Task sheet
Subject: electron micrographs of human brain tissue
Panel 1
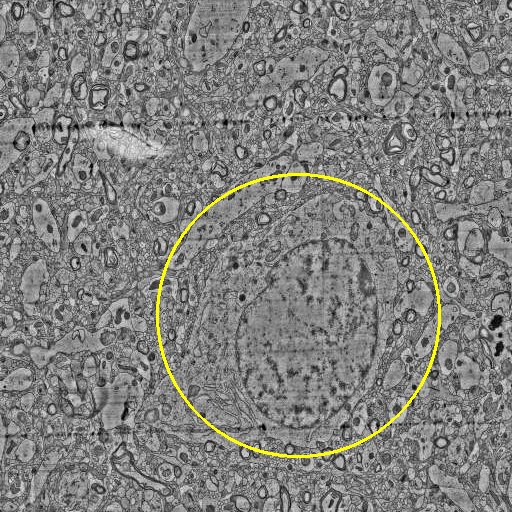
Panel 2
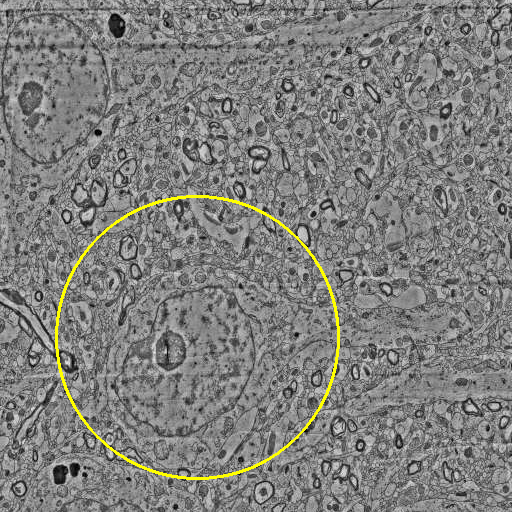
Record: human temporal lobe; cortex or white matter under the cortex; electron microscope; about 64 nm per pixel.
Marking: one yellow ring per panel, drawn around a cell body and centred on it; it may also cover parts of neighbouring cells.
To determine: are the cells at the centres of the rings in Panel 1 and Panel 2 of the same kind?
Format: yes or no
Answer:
no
